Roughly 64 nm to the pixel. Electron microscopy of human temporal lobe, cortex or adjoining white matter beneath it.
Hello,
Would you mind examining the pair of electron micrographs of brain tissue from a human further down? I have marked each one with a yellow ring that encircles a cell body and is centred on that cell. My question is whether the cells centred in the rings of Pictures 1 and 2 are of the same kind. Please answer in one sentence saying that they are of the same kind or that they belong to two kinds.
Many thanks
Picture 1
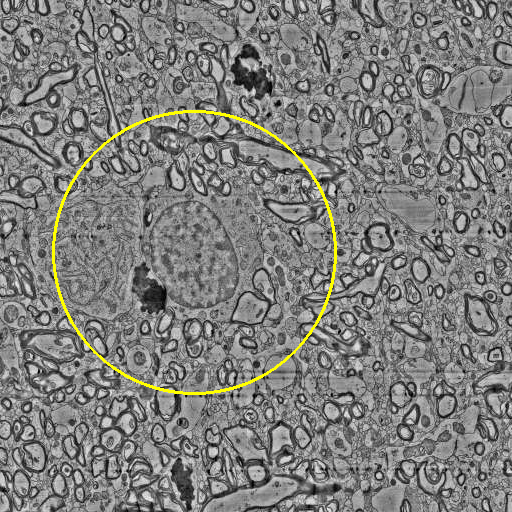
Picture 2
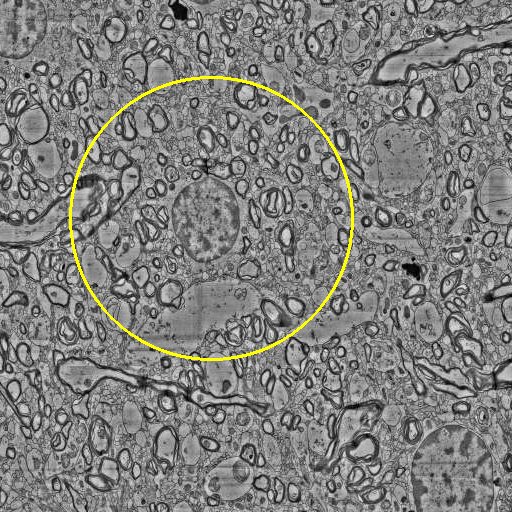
In Pictures 1 and 2, the cells at the heart of the rings are of the same kind.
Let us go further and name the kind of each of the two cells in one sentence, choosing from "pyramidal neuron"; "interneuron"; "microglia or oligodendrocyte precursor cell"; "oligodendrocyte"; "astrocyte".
The second cell is an oligodendrocyte, just as the first is.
